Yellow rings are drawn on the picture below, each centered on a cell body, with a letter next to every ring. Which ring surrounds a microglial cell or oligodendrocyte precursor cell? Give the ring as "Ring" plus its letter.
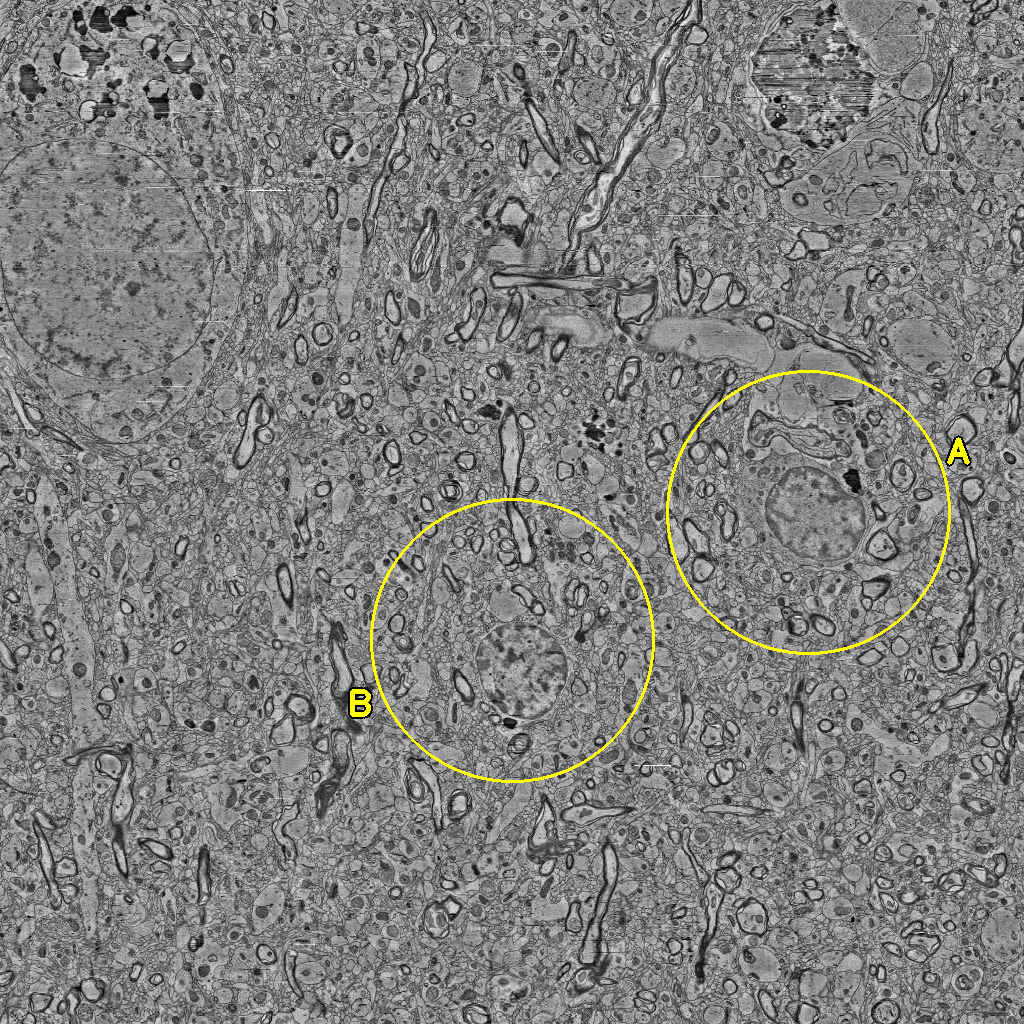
Ring B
